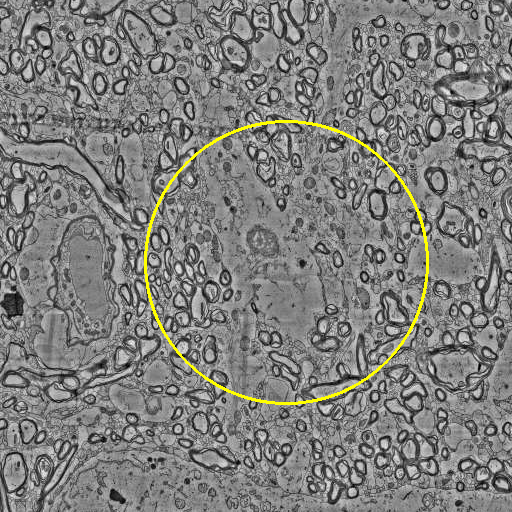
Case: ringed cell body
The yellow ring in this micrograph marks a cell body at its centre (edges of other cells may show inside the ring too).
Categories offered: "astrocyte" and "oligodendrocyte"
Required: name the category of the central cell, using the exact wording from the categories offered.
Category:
astrocyte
